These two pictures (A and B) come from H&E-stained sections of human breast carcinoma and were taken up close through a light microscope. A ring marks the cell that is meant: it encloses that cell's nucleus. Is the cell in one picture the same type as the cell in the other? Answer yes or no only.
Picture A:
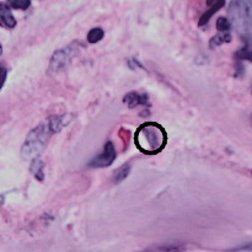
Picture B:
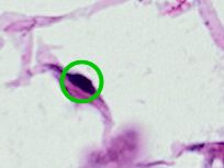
yes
